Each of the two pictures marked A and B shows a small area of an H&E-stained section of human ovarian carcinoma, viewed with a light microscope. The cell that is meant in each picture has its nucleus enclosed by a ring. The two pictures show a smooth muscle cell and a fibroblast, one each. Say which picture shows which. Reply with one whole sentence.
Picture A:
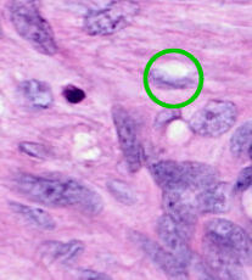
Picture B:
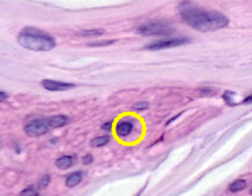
It is picture A that shows a fibroblast, and picture B that shows a smooth muscle cell.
